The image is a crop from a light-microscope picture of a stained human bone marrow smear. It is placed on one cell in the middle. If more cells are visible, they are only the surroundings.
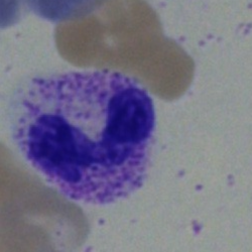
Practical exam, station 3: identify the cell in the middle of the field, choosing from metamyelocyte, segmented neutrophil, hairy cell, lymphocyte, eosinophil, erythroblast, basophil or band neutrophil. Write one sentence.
The cell shown in the center of this light-microscope crop is a band neutrophil.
